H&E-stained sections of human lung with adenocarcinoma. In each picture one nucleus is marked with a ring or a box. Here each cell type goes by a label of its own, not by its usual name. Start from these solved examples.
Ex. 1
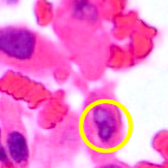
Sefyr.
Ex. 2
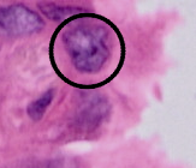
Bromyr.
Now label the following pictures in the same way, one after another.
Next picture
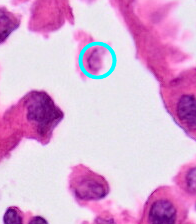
Sefyr.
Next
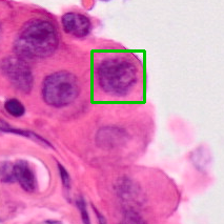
Bromyr.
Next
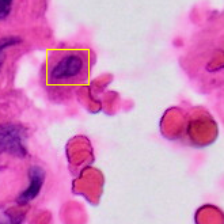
Sefyr.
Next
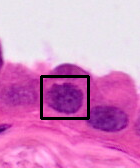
Bromyr.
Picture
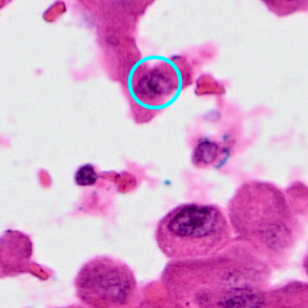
Bromyr.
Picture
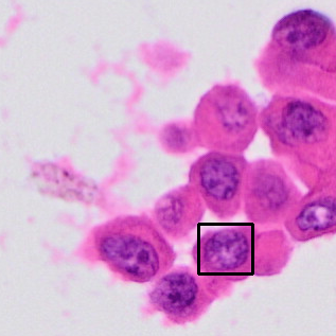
Bromyr.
